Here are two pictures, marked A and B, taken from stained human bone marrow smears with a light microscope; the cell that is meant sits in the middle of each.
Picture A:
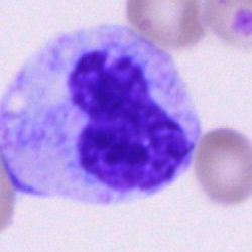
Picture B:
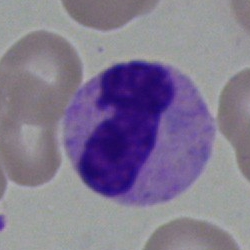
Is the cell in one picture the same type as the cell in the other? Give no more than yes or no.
no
